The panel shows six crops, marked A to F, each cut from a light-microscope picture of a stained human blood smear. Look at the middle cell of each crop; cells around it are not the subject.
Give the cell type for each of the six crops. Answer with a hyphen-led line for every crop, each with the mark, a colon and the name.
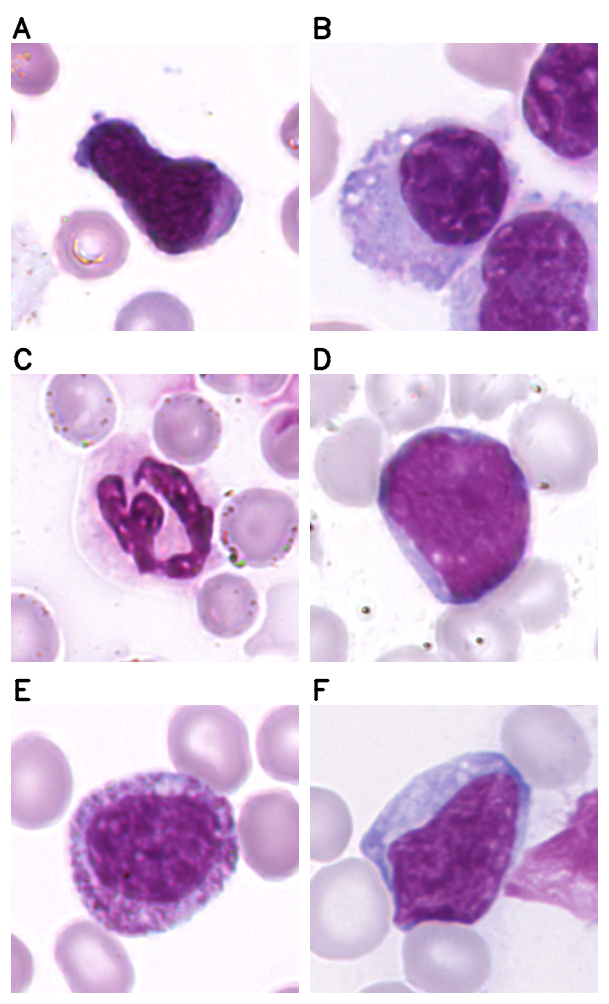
- A: atypical promyelocyte
- B: plasma cell
- C: segmented neutrophil
- D: myeloblast
- E: myelocyte
- F: monocyte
